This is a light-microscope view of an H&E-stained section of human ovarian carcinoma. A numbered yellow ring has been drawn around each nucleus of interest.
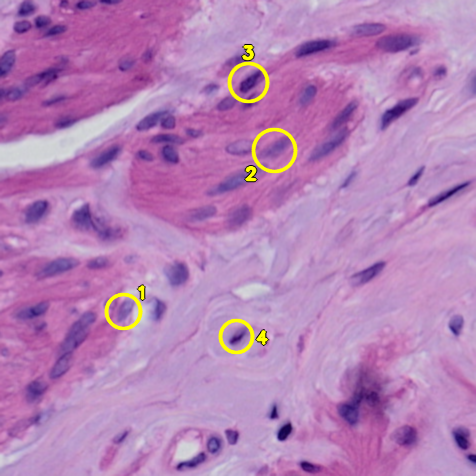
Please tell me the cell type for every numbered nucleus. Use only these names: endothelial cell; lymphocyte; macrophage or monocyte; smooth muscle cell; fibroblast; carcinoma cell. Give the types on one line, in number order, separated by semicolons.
smooth muscle cell; smooth muscle cell; smooth muscle cell; fibroblast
